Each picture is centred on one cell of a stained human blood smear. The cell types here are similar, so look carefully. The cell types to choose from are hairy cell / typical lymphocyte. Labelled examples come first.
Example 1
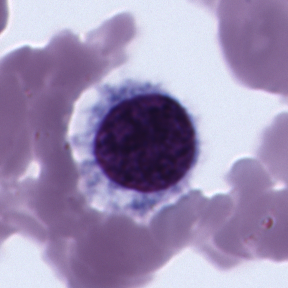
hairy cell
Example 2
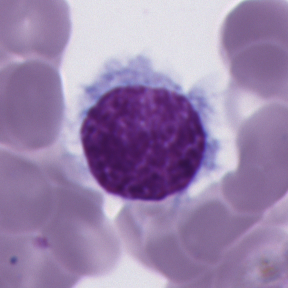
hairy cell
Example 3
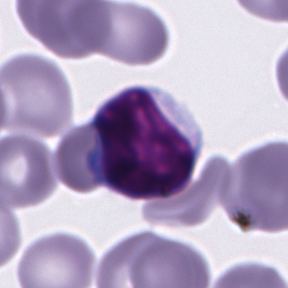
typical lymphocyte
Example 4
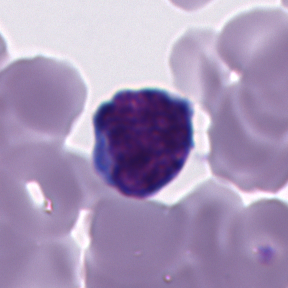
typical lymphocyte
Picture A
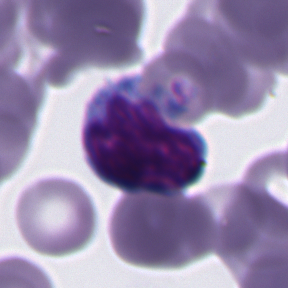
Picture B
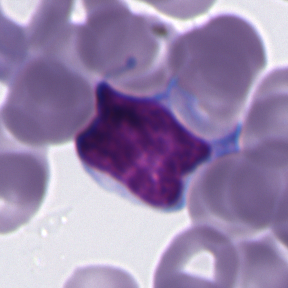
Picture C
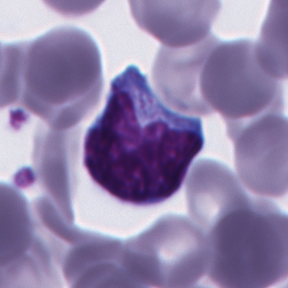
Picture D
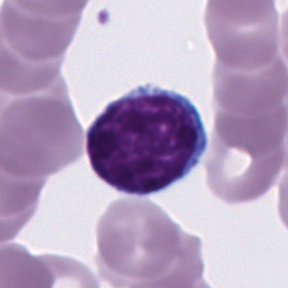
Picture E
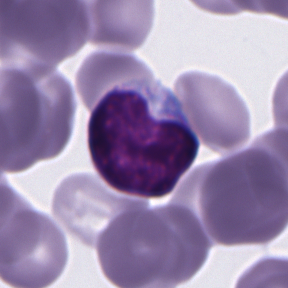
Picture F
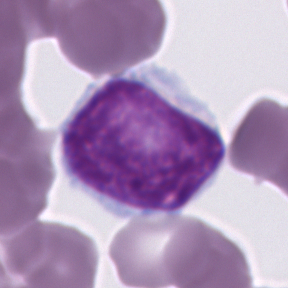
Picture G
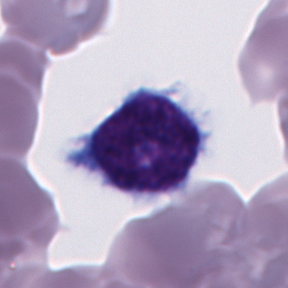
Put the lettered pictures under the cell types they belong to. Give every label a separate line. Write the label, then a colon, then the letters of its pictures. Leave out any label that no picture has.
hairy cell: F, G
typical lymphocyte: A, B, C, D, E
